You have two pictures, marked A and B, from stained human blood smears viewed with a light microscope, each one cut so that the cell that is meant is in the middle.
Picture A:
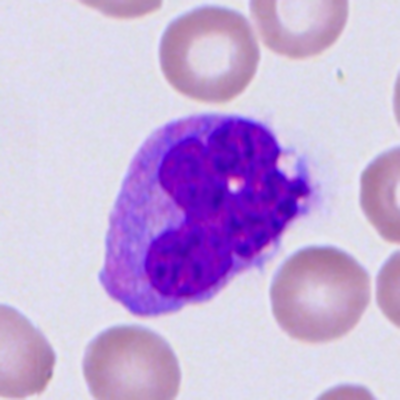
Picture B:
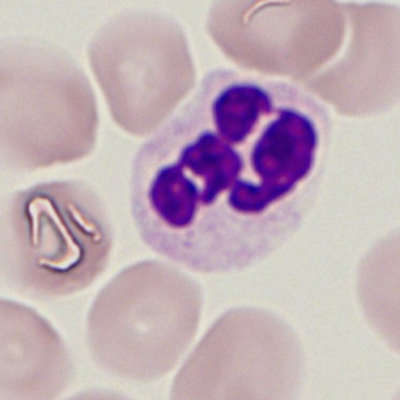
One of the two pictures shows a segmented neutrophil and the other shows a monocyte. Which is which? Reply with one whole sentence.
It is picture A that shows a monocyte, and picture B that shows a segmented neutrophil.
